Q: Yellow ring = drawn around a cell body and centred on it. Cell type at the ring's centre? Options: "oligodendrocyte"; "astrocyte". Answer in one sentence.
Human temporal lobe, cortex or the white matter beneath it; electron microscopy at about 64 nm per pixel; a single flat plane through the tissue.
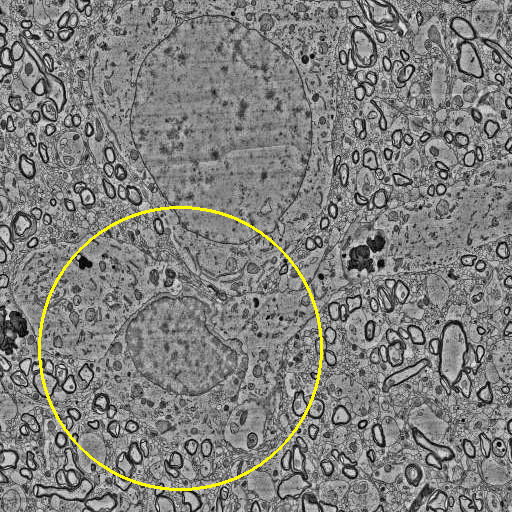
Centred in the ring is an oligodendrocyte.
